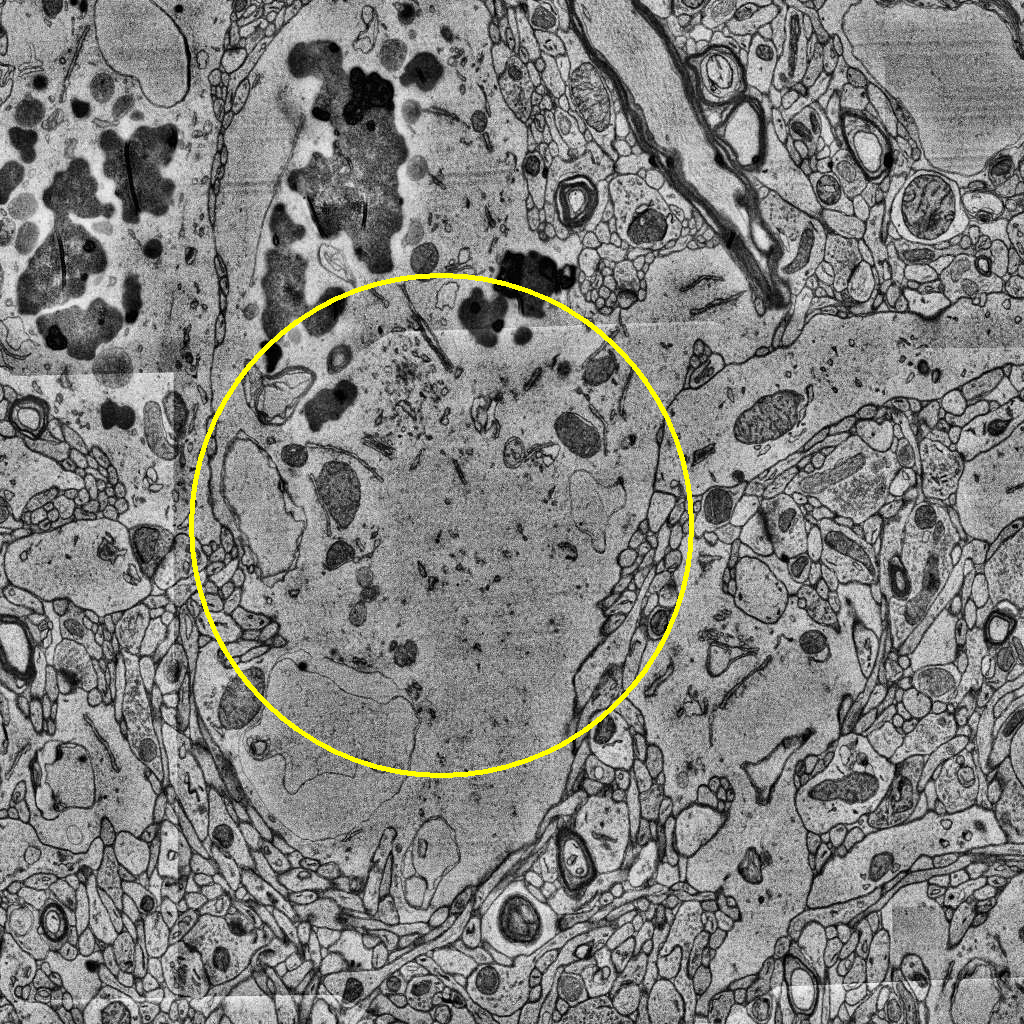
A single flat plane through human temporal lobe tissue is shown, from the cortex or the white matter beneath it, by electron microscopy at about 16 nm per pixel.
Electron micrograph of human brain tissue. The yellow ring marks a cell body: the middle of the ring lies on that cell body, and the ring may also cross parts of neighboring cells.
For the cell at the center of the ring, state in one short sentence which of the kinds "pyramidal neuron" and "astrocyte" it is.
This ring's center lies on an astrocyte.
